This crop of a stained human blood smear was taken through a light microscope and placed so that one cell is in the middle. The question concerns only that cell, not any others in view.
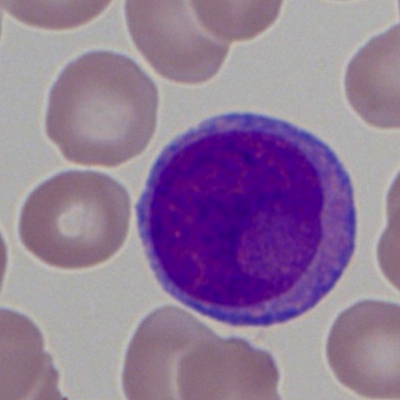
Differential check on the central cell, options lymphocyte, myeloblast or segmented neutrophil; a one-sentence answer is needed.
This crop has a myeloblast at its centre.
